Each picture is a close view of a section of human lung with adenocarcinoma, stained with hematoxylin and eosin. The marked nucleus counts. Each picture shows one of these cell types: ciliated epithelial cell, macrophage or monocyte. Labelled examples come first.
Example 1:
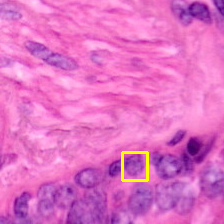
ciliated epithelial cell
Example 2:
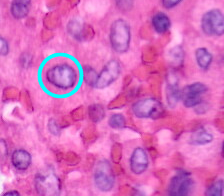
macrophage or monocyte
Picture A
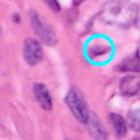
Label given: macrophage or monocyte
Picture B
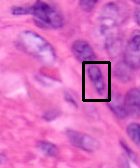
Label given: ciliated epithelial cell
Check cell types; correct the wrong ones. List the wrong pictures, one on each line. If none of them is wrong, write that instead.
A should be ciliated epithelial cell, not macrophage or monocyte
